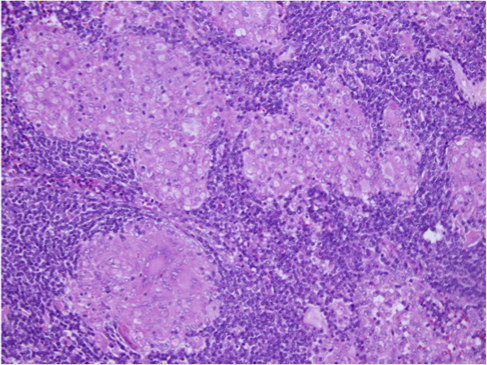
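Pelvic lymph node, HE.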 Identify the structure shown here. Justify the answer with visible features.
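Pale pink rounded nodules of cells with abundant pink cytoplasm. Nodules are surrounded by dense sheets of small dark-nucleated cells. No necrotic centre is seen in the nodules. The answer: Non-caseating epithelioid granulomas.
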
